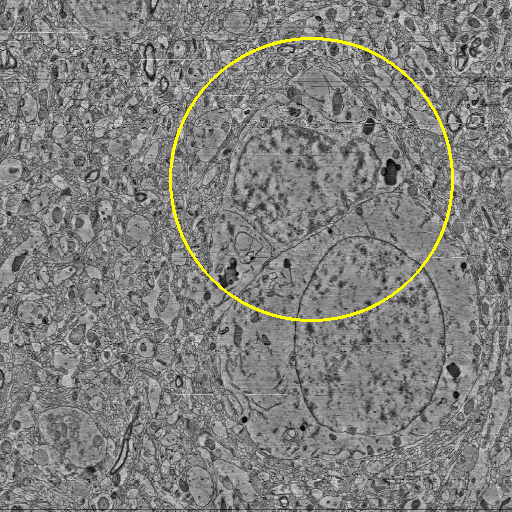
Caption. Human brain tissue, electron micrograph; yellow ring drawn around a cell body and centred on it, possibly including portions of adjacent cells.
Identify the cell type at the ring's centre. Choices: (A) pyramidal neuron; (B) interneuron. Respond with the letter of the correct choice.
B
